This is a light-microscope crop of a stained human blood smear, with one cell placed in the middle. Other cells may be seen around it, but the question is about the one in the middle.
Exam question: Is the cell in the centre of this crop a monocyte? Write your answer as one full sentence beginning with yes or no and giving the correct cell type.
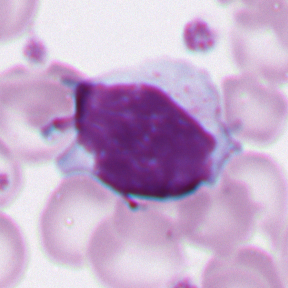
No, the cell placed at the center is a large granular lymphocyte rather than a monocyte.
